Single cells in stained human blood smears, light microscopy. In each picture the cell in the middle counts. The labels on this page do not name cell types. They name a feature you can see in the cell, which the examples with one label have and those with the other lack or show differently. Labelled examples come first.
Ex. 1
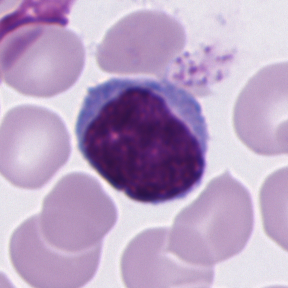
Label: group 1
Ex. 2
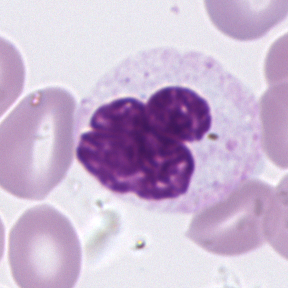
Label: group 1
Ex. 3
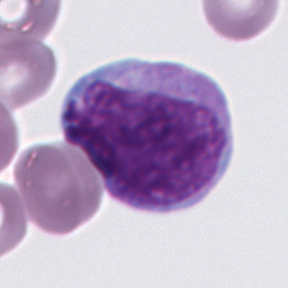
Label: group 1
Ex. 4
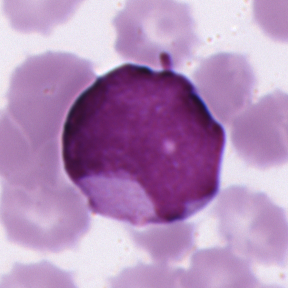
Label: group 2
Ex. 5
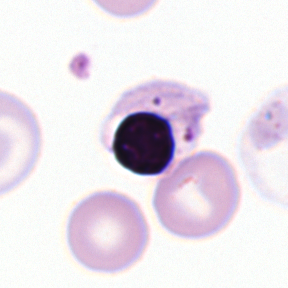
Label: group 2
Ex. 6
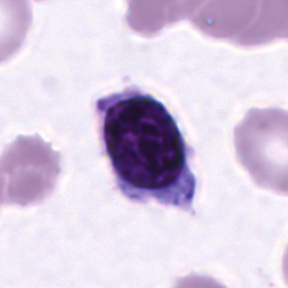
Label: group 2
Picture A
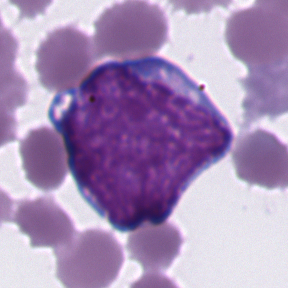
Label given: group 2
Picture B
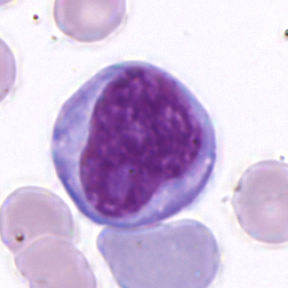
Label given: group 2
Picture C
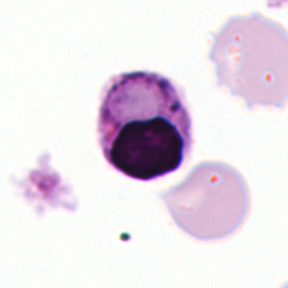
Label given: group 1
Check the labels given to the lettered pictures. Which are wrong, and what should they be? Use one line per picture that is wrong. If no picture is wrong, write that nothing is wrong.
Wrong: B (group 2); correct: group 1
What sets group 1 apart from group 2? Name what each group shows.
In group 1: smooth outline. In group 2: ragged outline or projections.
